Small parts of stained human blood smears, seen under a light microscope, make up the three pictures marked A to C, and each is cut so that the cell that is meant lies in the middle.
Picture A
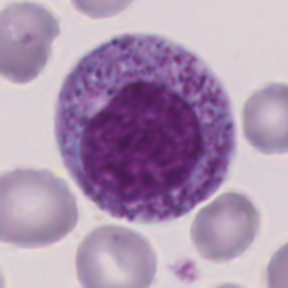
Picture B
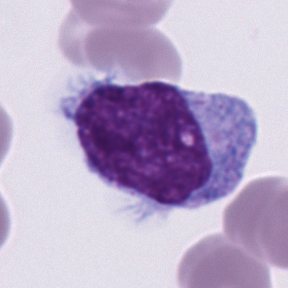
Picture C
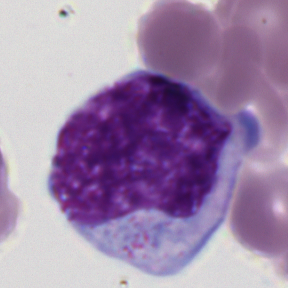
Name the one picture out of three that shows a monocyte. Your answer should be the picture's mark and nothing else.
B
